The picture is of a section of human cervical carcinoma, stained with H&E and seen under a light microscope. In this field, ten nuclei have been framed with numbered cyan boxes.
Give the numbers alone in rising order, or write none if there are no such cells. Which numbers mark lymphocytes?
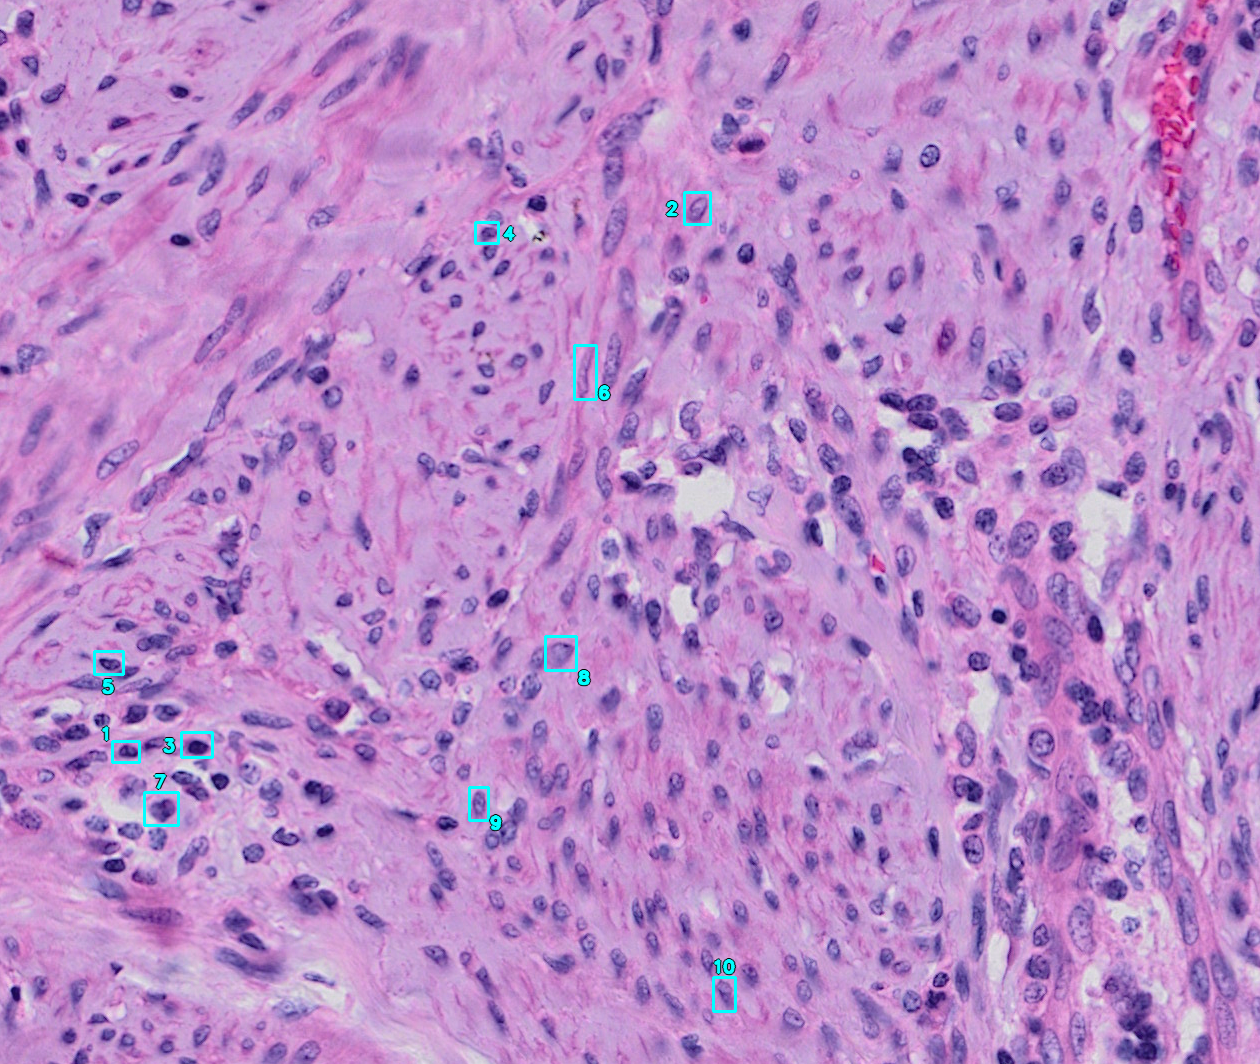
1, 3, 5, 7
